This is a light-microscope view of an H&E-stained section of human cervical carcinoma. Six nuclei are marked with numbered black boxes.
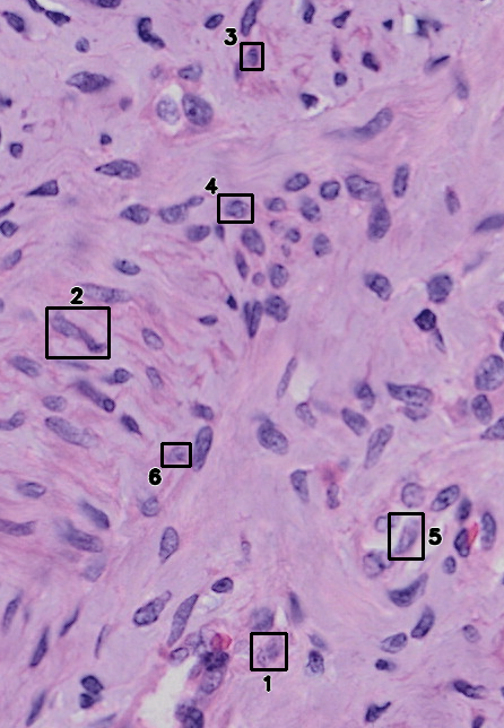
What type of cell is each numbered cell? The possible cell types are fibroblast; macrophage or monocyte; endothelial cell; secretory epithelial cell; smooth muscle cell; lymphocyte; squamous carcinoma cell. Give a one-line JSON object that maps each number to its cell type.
{"1": "endothelial cell", "2": "smooth muscle cell", "3": "smooth muscle cell", "4": "smooth muscle cell", "5": "endothelial cell", "6": "smooth muscle cell"}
